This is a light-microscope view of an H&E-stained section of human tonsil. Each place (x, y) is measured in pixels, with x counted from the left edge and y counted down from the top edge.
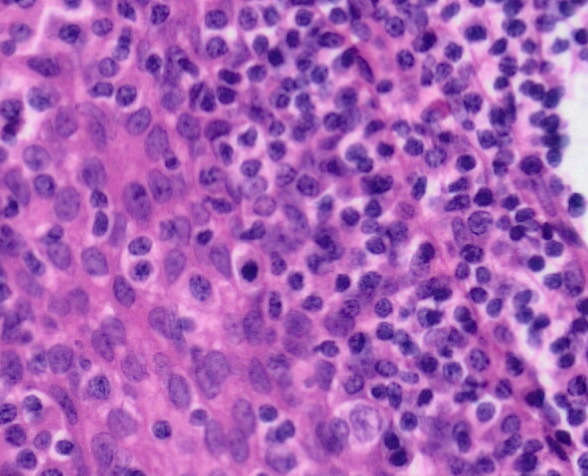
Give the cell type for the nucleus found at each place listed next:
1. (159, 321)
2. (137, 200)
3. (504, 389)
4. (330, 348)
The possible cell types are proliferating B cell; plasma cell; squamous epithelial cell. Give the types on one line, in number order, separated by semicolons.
squamous epithelial cell; squamous epithelial cell; plasma cell; squamous epithelial cell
